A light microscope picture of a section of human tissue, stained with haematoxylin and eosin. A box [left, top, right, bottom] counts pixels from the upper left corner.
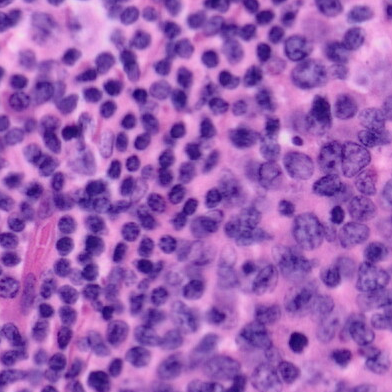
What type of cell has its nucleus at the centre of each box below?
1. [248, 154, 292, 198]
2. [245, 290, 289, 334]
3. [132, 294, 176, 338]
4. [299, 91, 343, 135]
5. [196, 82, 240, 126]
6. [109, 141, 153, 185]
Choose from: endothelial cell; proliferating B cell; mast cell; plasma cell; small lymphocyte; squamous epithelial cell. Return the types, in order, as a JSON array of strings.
["proliferating B cell", "proliferating B cell", "proliferating B cell", "proliferating B cell", "small lymphocyte", "small lymphocyte"]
